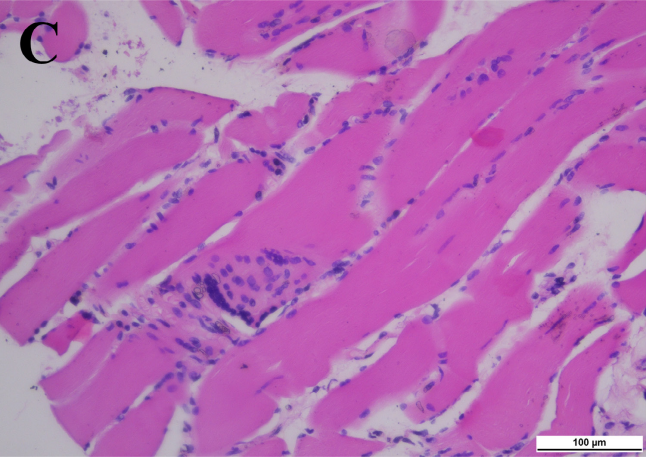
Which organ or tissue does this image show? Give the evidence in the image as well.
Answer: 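Long, broad, uniformly pink fibres run in parallel. Small dark nuclei lie along the edges of the fibres. Thin strips of loose tissue with spindle nuclei separate the fibres.
Hence: skeletal muscle tissue.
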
